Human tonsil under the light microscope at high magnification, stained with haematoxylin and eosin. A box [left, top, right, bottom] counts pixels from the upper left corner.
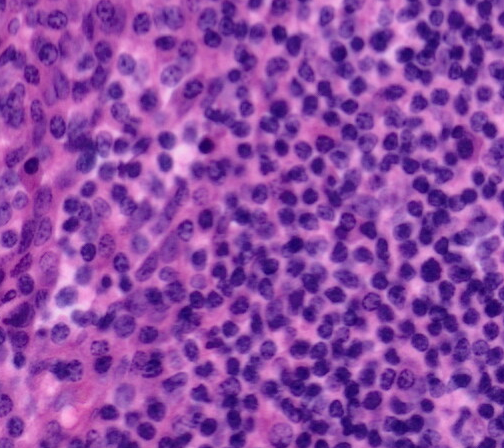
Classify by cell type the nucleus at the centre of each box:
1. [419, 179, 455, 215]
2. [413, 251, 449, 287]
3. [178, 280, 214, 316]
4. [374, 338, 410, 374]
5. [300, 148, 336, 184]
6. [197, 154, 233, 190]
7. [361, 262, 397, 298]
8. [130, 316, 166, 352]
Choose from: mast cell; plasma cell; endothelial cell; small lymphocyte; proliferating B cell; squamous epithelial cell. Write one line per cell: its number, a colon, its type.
1: small lymphocyte
2: proliferating B cell
3: small lymphocyte
4: small lymphocyte
5: small lymphocyte
6: plasma cell
7: small lymphocyte
8: plasma cell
